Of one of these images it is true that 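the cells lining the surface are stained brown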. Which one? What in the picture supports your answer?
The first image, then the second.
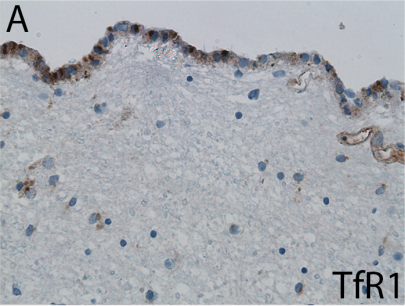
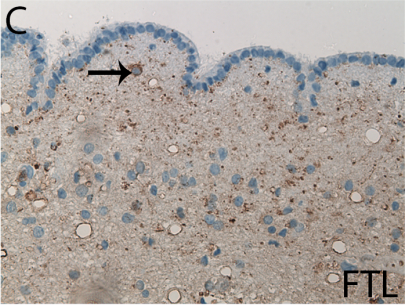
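The first image. Second image: the cuboidal surface-lining cells have blue nuclei and pale cytoplasm without brown stain. First image: the surface-lining cells are stained dark brown.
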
